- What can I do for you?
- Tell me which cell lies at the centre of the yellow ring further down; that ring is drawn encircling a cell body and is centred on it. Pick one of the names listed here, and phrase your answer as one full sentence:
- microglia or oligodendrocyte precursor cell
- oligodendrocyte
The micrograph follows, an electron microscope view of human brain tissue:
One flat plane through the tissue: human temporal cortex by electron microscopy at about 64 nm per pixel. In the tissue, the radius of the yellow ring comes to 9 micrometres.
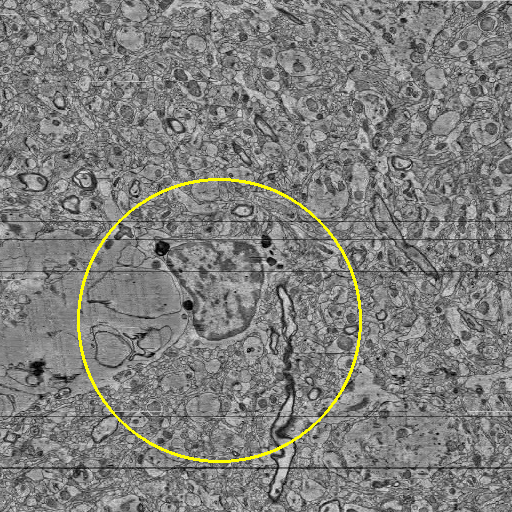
The cell whose body lies at the centre of the yellow ring is a microglial cell or oligodendrocyte precursor cell.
